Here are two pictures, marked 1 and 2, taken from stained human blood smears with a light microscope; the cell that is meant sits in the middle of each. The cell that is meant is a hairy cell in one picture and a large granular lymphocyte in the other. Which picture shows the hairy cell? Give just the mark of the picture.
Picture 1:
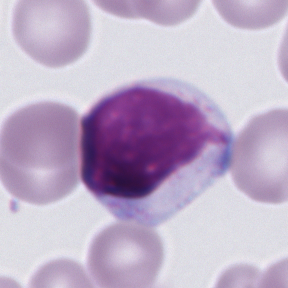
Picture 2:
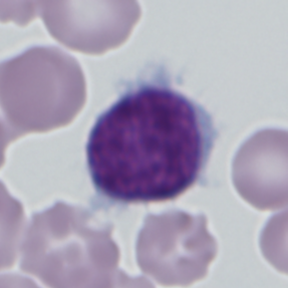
2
